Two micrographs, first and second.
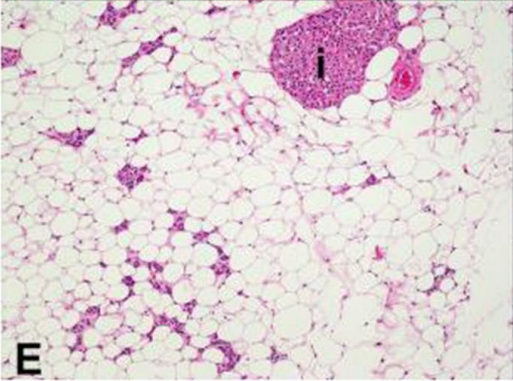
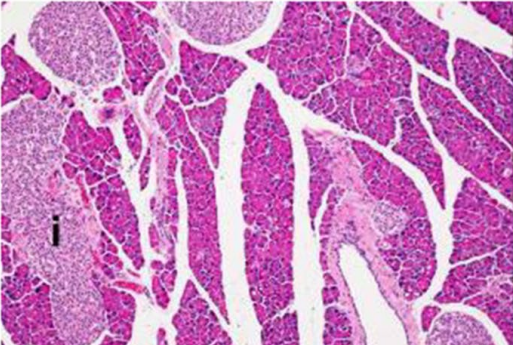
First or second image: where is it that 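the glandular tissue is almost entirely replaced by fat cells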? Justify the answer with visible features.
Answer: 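First image: the field is mostly empty adipocytes with small remnant purple clusters. Second image: the field is filled with dense purple acinar lobules and no fat cells.
Hence: the first image.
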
